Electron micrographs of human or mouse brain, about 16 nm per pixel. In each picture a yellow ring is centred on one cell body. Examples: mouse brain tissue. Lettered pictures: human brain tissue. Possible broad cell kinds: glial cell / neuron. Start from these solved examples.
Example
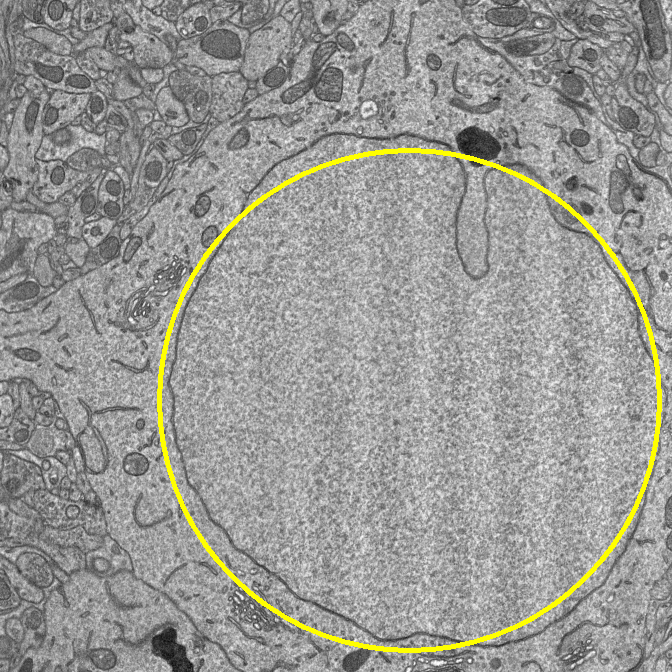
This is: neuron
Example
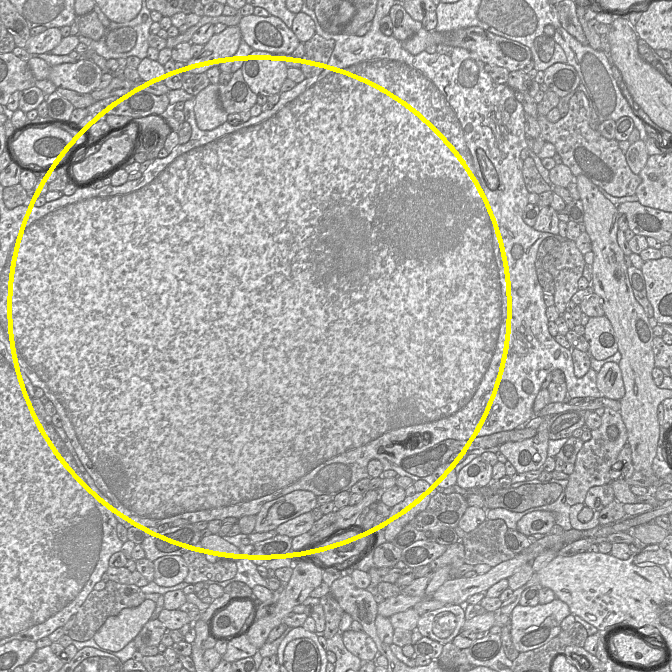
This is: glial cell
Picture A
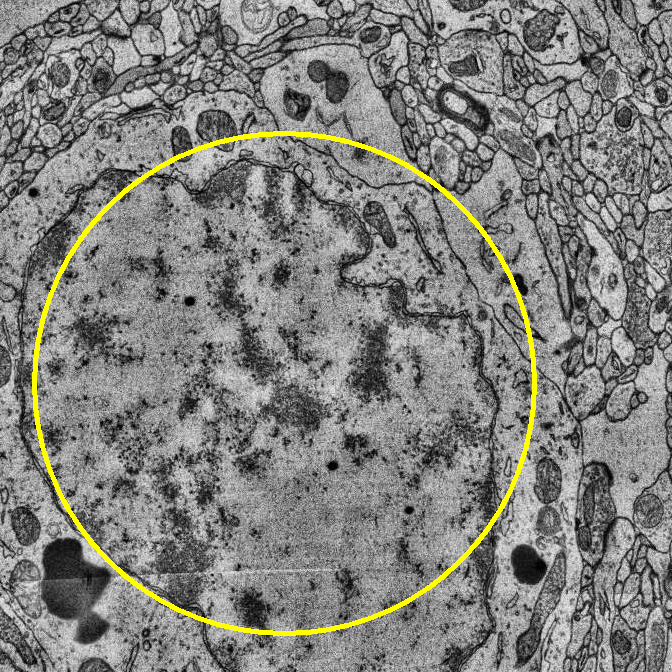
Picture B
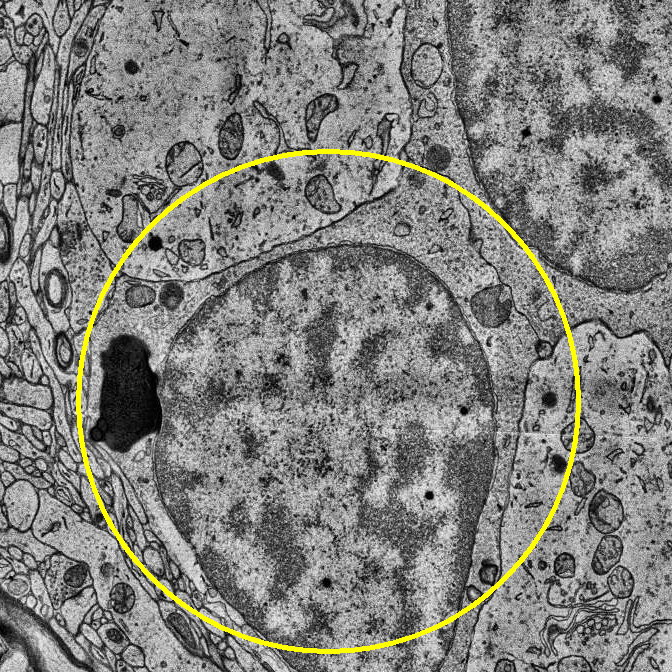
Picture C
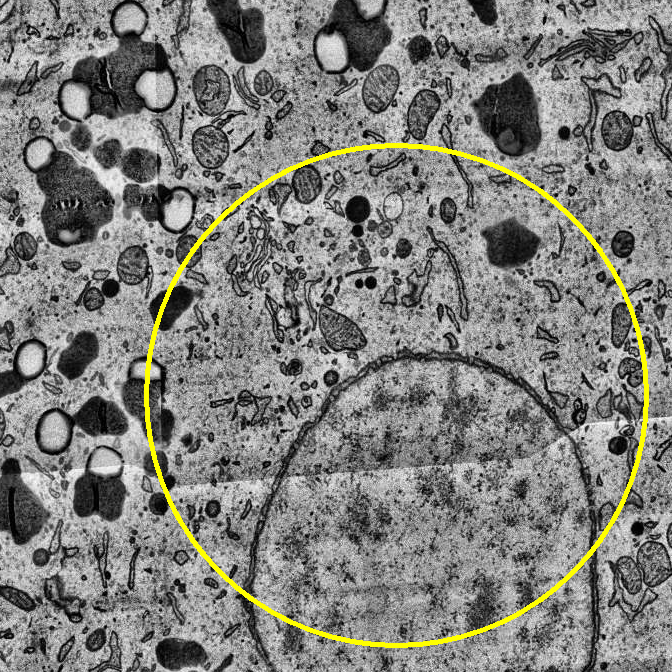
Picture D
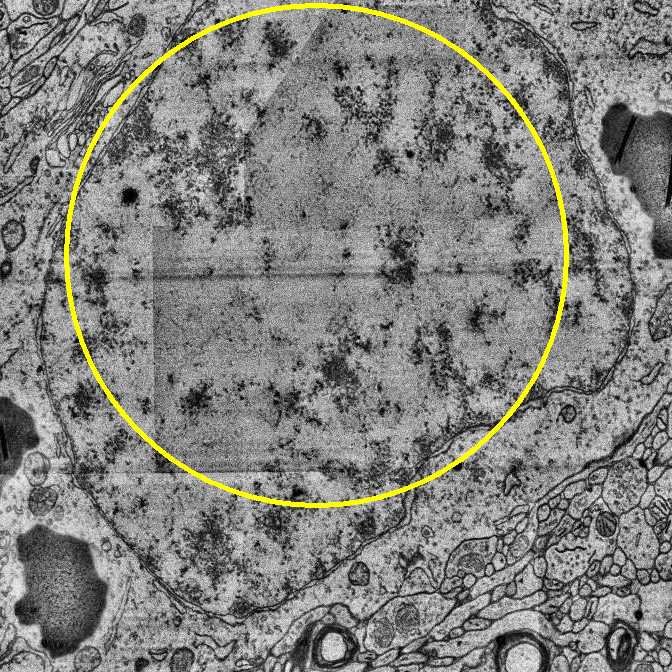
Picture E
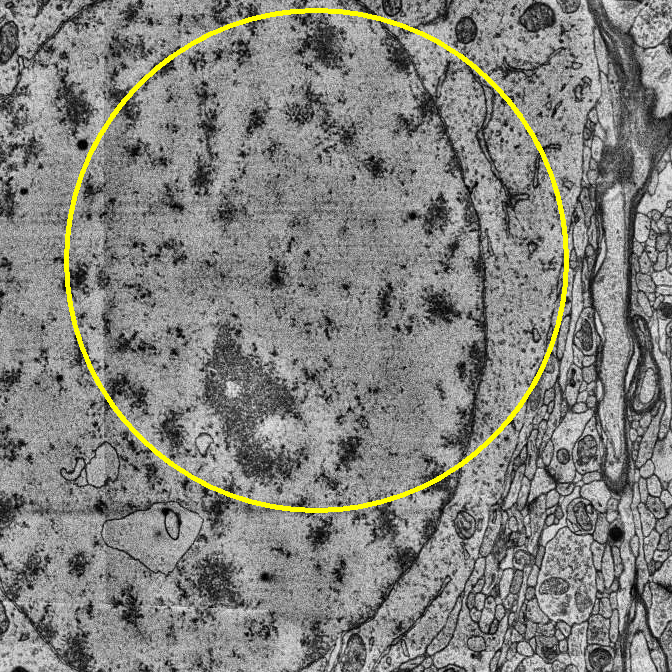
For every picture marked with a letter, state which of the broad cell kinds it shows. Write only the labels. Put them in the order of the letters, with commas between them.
neuron, glial cell, neuron, neuron, neuron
